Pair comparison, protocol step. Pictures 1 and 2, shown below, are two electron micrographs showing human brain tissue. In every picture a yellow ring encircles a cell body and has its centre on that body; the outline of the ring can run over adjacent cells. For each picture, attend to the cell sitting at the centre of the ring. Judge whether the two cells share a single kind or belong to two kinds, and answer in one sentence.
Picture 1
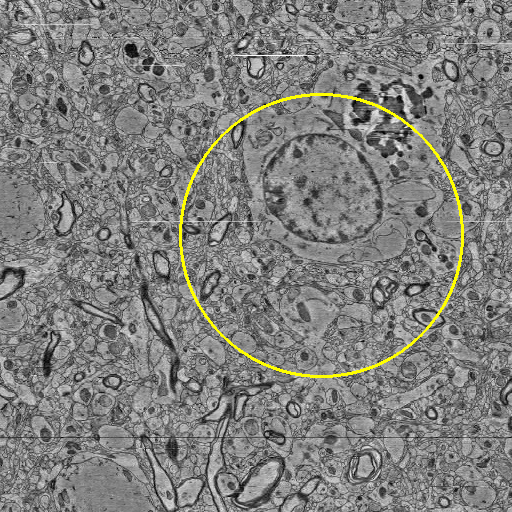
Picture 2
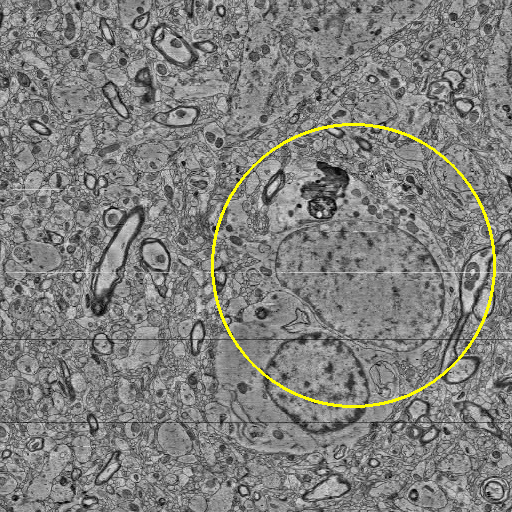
The two cells at the ring centres in Picture 1 and Picture 2 share a single kind.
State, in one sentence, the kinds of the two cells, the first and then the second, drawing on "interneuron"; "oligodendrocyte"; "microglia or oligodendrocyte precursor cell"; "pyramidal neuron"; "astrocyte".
In the first picture and in the second, the ring is centred on an astrocyte.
